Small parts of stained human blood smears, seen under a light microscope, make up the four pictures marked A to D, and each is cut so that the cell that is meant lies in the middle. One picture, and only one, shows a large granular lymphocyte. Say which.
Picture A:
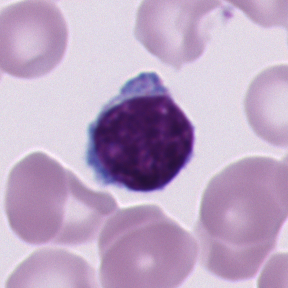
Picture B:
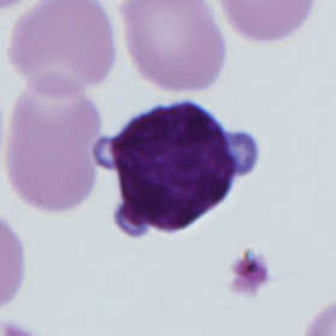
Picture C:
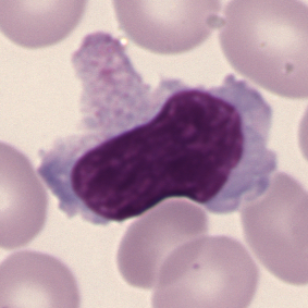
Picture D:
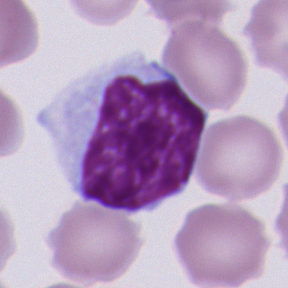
C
